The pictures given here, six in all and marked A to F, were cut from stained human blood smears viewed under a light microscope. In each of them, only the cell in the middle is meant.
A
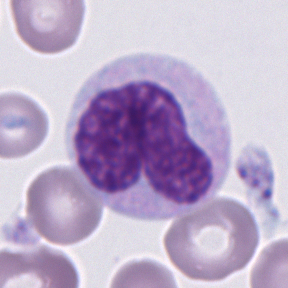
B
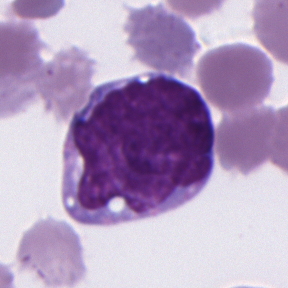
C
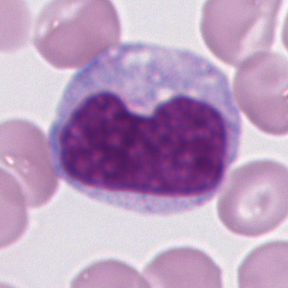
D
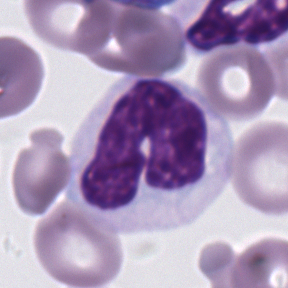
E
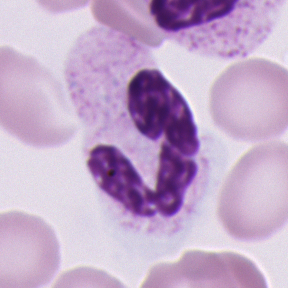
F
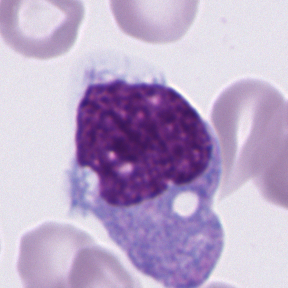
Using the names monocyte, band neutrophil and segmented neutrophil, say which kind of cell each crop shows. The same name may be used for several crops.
A: band neutrophil
B: monocyte
C: monocyte
D: band neutrophil
E: segmented neutrophil
F: monocyte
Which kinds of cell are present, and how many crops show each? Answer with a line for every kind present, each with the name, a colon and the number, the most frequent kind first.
monocyte: 3
band neutrophil: 2
segmented neutrophil: 1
